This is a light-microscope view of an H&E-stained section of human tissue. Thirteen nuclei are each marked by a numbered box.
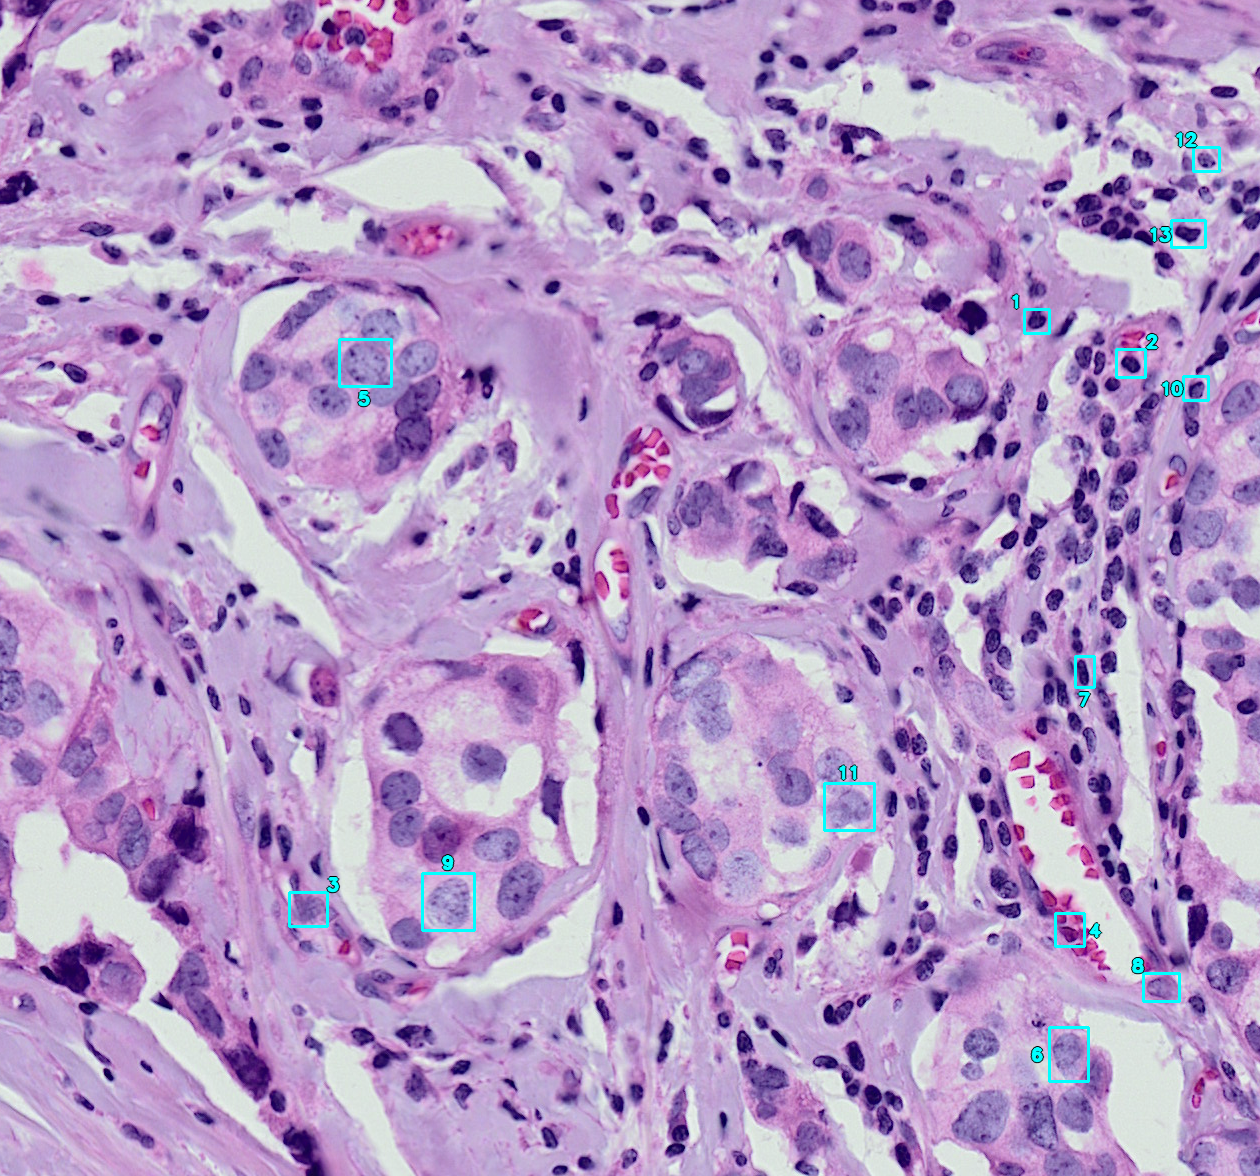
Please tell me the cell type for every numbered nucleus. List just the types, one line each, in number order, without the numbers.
lymphocyte
lymphocyte
endothelial cell
endothelial cell
carcinoma cell
carcinoma cell
lymphocyte
endothelial cell
carcinoma cell
lymphocyte
carcinoma cell
lymphocyte
lymphocyte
